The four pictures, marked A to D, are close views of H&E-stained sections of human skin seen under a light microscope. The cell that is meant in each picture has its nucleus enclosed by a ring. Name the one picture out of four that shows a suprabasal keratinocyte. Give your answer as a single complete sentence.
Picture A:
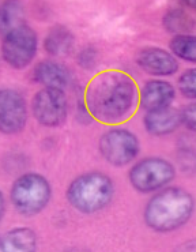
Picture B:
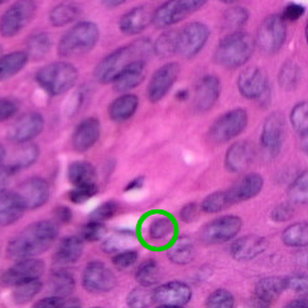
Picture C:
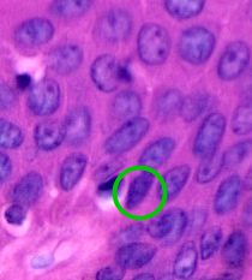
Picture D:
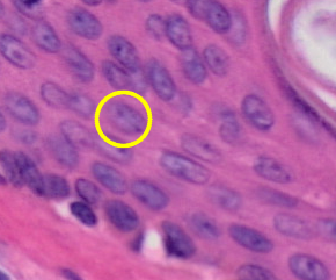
The picture with the suprabasal keratinocyte is D.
